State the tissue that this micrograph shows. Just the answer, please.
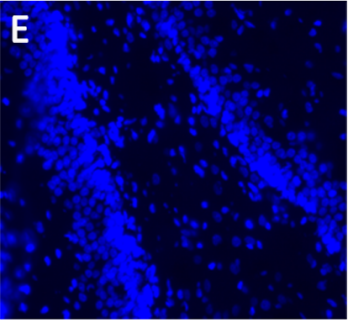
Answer: dentate gyrus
